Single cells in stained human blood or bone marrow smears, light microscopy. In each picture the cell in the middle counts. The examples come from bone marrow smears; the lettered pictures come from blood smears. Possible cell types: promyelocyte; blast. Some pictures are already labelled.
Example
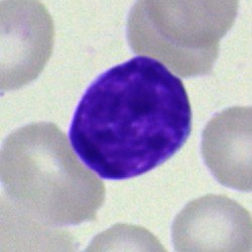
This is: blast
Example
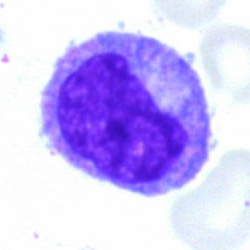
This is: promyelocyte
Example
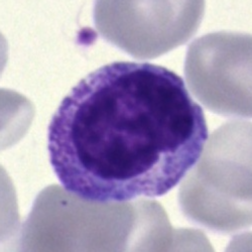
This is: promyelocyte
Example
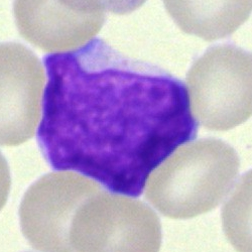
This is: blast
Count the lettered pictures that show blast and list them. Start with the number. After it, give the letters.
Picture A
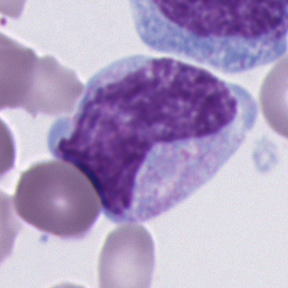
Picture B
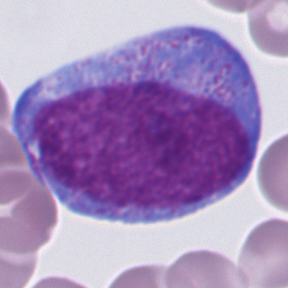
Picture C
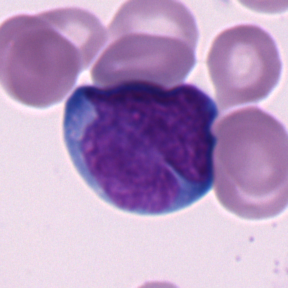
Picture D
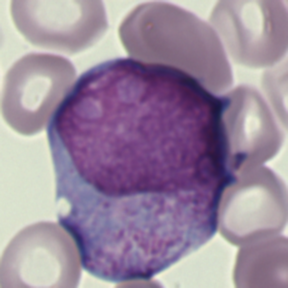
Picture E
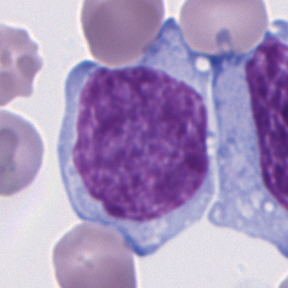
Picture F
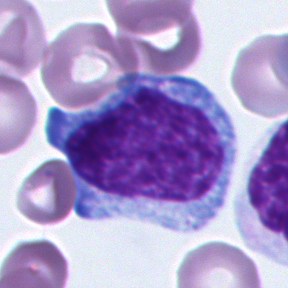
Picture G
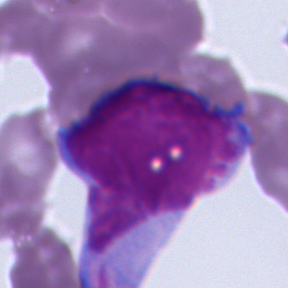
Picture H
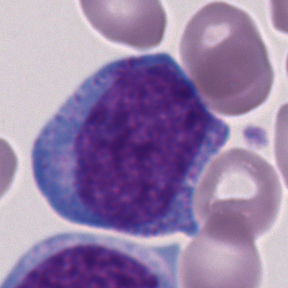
3, namely C, E, G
